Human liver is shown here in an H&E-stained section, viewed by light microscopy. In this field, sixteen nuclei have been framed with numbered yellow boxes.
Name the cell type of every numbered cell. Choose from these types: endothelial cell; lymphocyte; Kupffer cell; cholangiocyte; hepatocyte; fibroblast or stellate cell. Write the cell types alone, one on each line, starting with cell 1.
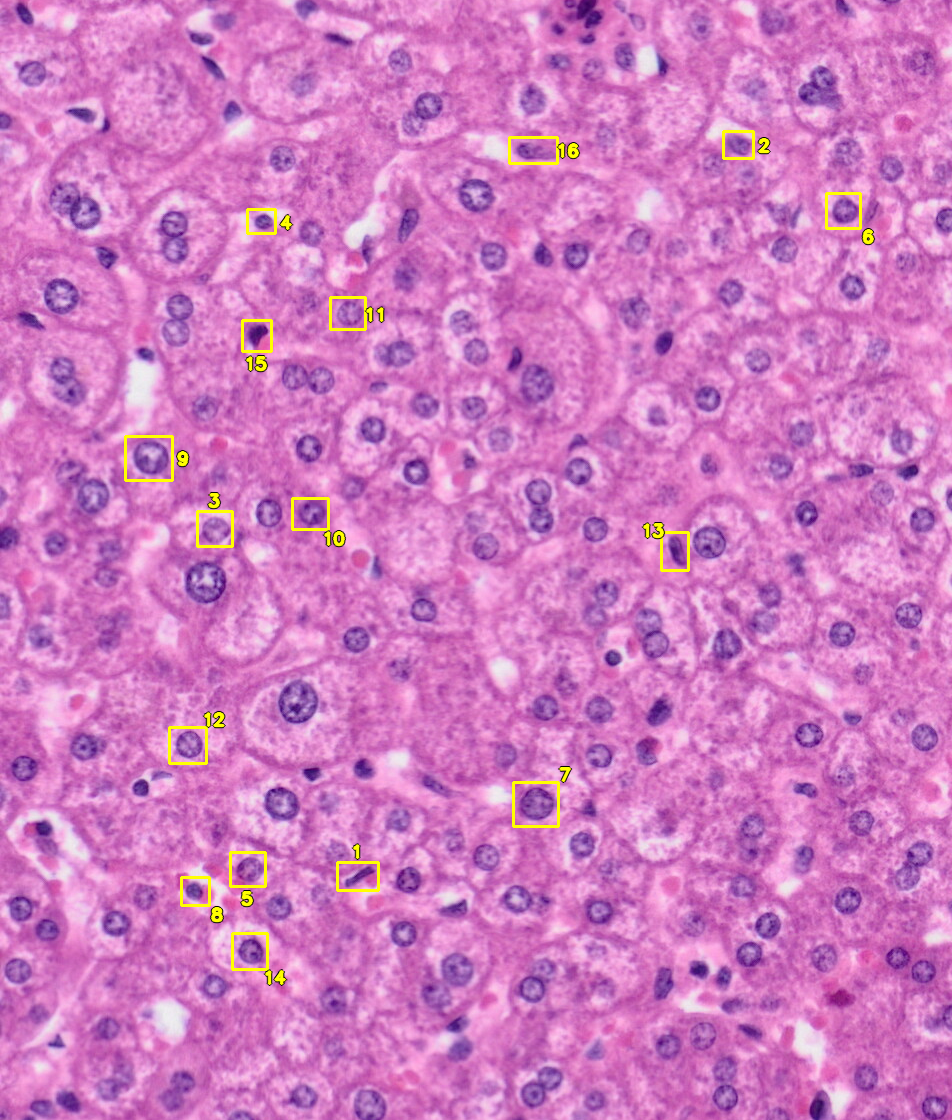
endothelial cell
Kupffer cell
hepatocyte
lymphocyte
hepatocyte
hepatocyte
hepatocyte
lymphocyte
hepatocyte
hepatocyte
hepatocyte
hepatocyte
endothelial cell
hepatocyte
endothelial cell
Kupffer cell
